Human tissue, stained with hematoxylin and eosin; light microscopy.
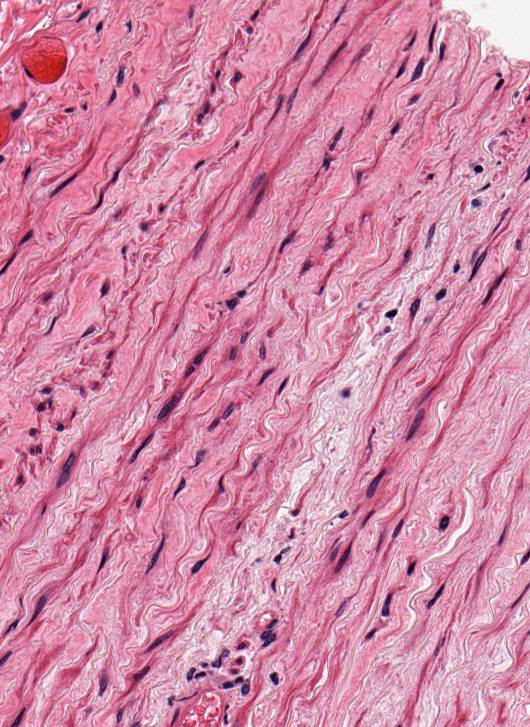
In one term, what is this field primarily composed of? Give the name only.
tunica media of an artery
